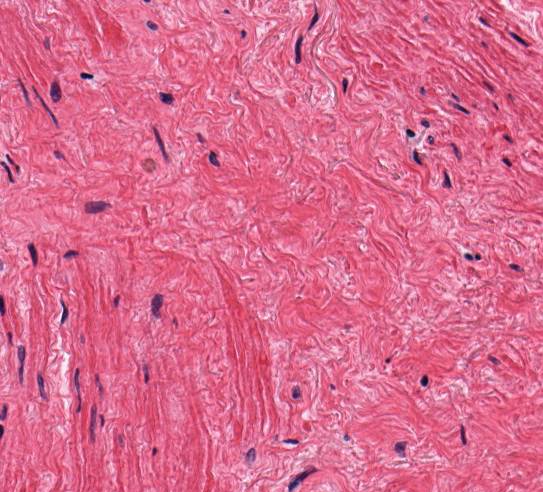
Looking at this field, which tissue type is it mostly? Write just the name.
fibromuscular stroma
